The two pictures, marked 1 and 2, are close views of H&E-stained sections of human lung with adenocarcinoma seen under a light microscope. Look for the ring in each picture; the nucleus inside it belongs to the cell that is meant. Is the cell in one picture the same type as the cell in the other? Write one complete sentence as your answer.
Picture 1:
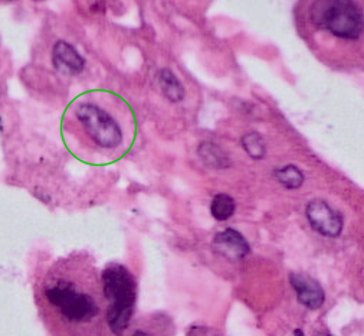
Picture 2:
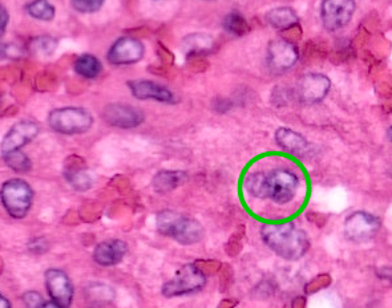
Yes, both are “macrophages or monocytes”.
